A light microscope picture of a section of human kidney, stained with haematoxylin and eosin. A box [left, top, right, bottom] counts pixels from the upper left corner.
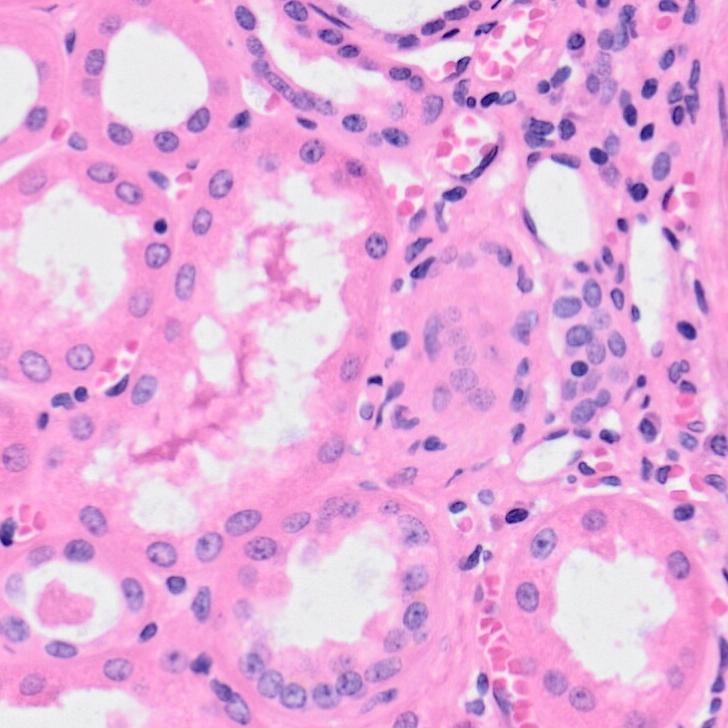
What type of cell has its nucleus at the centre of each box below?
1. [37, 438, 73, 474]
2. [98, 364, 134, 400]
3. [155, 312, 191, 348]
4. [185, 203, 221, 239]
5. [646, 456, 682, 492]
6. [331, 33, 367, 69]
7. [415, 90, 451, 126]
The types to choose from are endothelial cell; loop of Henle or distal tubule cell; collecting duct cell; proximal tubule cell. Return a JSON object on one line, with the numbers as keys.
{"1": "proximal tubule cell", "2": "endothelial cell", "3": "proximal tubule cell", "4": "proximal tubule cell", "5": "endothelial cell", "6": "collecting duct cell", "7": "collecting duct cell"}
